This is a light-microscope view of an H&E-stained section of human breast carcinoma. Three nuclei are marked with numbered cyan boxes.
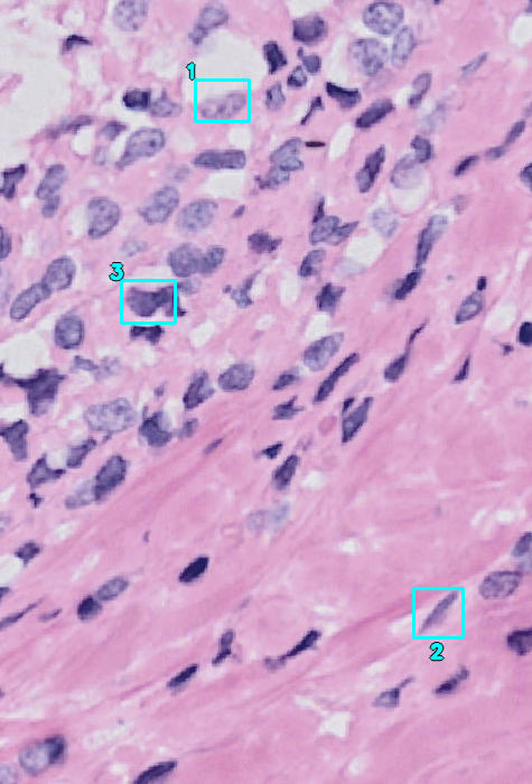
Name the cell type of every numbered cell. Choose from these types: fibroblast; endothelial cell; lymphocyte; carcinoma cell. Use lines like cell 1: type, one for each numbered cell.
cell 1: carcinoma cell
cell 2: fibroblast
cell 3: carcinoma cell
